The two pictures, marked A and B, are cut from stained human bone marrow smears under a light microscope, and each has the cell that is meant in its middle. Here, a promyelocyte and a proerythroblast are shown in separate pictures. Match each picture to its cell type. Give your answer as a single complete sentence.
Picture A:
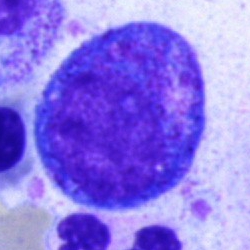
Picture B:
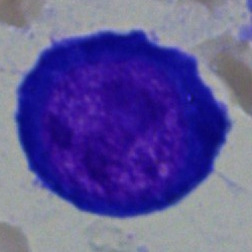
The cell in picture A is a promyelocyte, and the one in picture B is a proerythroblast.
